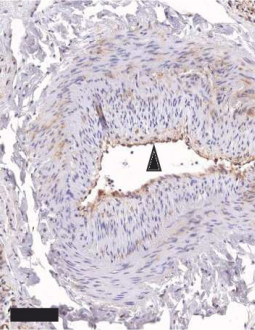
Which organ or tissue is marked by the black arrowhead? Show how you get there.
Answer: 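A thin brown-stained cell layer lines the vessel lumen. It lies on the inner side of a thick wall of elongated cells. The answer: Endothelium.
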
